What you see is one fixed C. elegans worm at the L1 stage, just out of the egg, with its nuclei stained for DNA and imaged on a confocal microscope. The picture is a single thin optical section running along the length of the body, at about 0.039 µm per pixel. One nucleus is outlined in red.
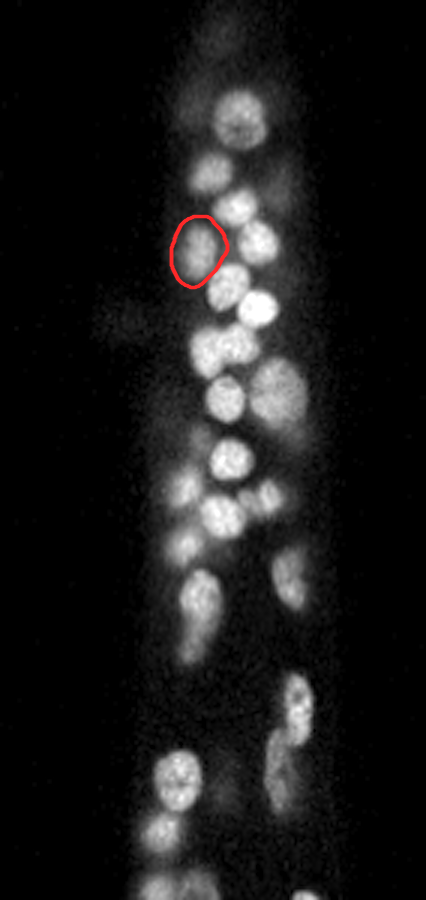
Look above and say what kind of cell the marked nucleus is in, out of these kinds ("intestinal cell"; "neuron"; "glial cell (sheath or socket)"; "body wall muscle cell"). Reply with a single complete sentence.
The marked cell is a body wall muscle cell.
